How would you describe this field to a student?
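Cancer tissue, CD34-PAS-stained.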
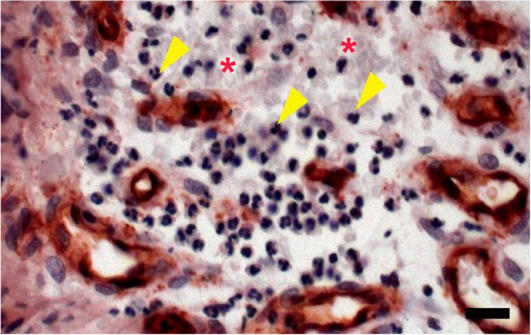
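Loose stroma of a tumour is crowded with small white blood cells whose dark nuclei are compact or lobed, mixed with pale pink, nucleus-free red blood cells. Several small vessels with brown-stained walls ring the area, and the blood cells lie outside their lumina in the stroma.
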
